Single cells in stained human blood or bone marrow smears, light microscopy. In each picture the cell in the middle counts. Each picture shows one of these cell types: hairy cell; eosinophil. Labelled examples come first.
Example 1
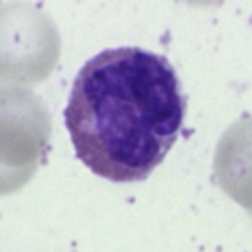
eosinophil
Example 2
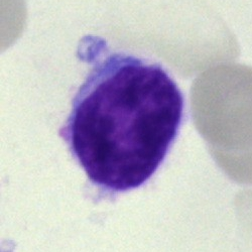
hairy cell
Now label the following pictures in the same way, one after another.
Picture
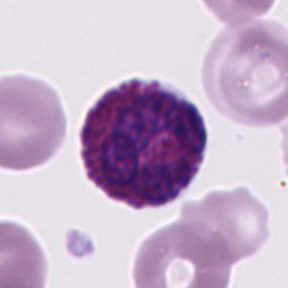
eosinophil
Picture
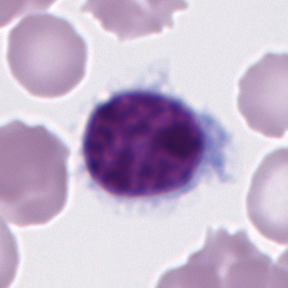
hairy cell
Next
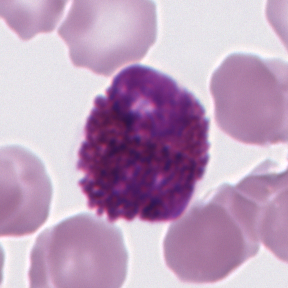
eosinophil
